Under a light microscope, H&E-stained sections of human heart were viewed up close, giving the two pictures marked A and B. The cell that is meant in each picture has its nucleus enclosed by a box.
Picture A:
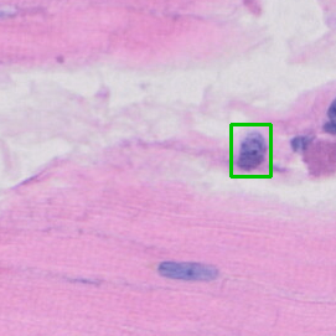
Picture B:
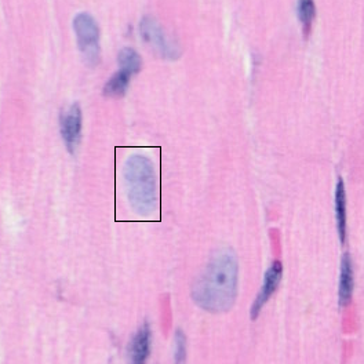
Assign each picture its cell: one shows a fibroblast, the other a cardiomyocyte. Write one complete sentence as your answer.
In picture A the cell is a fibroblast; in picture B, a cardiomyocyte.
